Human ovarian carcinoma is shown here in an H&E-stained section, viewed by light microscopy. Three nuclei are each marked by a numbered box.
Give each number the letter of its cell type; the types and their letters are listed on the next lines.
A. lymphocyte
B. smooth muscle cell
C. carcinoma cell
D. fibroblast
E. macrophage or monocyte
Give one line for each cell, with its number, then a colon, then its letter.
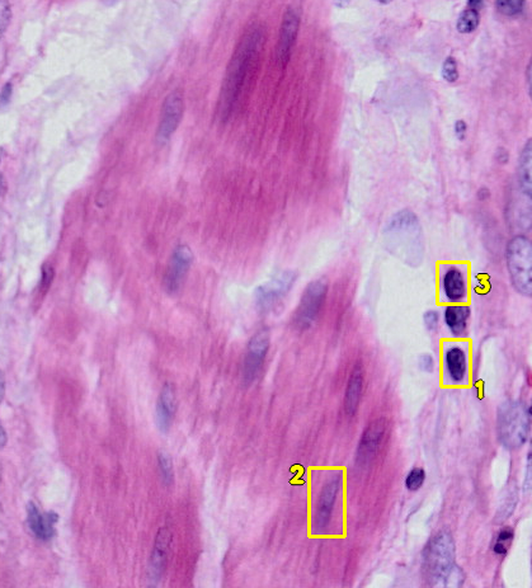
1: A
2: B
3: A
